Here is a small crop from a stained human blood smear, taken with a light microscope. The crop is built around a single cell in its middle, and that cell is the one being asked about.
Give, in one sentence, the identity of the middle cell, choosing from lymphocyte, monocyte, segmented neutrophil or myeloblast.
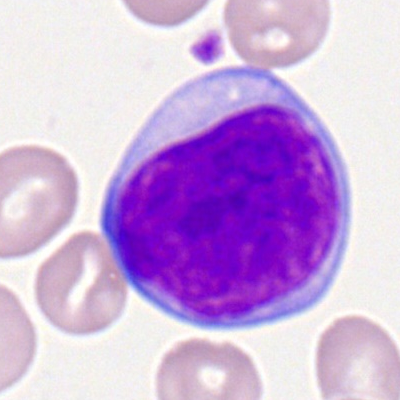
The cell at the centre of the field is a myeloblast.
